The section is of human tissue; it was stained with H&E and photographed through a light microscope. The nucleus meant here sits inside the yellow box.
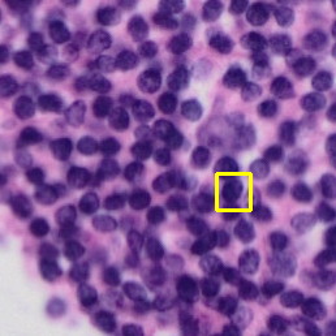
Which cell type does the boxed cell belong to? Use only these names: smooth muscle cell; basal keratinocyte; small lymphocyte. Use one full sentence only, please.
In cell-type terms, the boxed cell is a small lymphocyte.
